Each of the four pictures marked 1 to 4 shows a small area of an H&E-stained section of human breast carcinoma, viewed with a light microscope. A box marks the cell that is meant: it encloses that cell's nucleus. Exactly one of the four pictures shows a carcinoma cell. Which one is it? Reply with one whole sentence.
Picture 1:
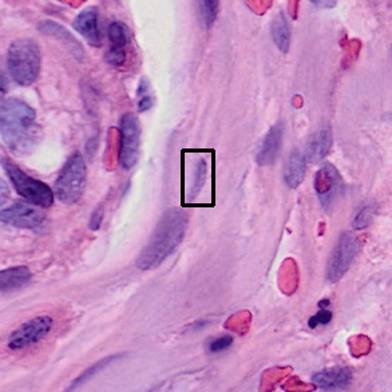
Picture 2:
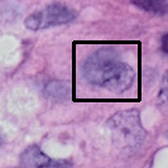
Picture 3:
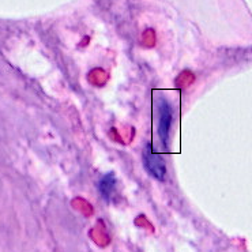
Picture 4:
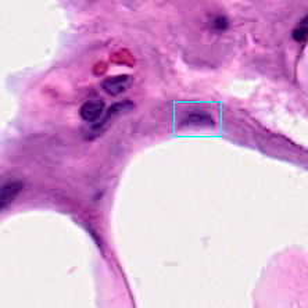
The picture with the carcinoma cell is 2.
